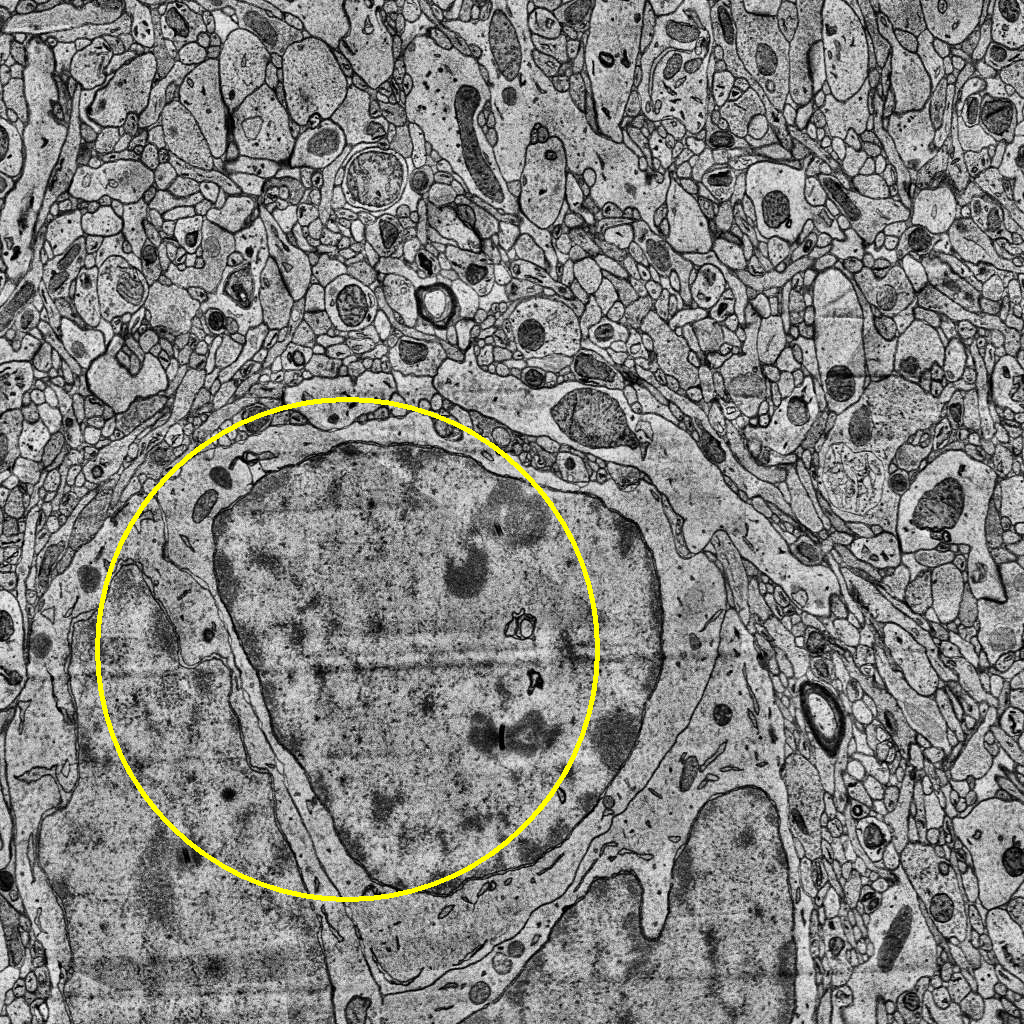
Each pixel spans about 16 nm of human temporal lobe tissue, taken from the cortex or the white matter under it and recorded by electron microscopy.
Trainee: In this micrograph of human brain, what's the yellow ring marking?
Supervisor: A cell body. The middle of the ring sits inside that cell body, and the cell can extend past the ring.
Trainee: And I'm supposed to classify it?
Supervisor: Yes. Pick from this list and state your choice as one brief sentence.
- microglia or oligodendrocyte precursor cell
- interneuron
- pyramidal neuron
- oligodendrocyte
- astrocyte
The cell at the ring's center is a microglial cell or oligodendrocyte precursor cell.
